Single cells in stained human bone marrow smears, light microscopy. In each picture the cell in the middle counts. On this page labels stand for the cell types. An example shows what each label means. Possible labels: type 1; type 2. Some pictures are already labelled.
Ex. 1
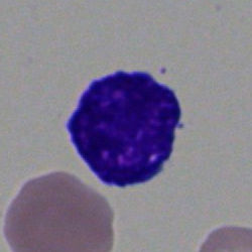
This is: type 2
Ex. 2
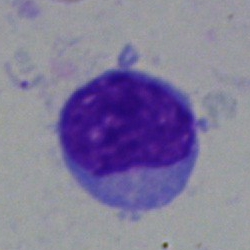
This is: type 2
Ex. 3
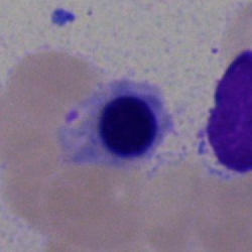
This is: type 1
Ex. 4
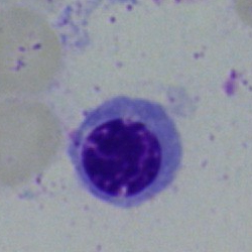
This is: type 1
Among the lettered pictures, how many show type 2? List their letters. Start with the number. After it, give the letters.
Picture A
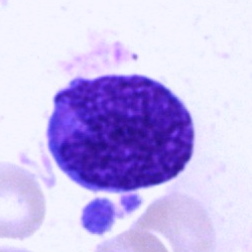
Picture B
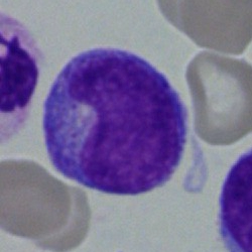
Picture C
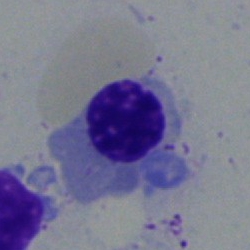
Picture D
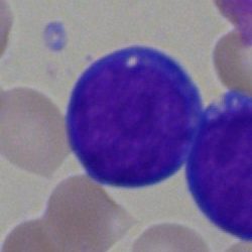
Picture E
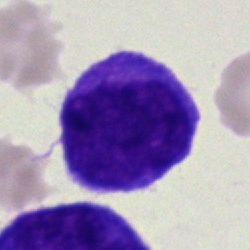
Count: 4 (A, B, D, E)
